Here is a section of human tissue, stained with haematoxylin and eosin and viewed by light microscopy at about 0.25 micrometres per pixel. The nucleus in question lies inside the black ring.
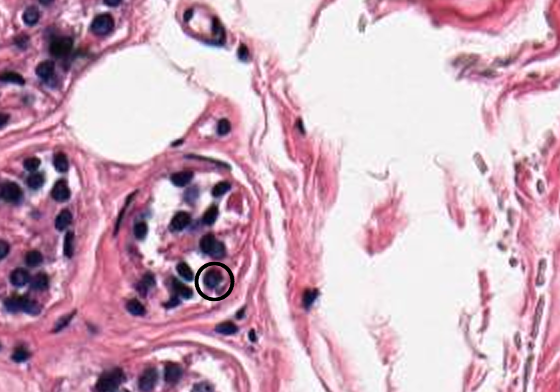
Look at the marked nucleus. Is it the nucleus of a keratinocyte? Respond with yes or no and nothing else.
no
